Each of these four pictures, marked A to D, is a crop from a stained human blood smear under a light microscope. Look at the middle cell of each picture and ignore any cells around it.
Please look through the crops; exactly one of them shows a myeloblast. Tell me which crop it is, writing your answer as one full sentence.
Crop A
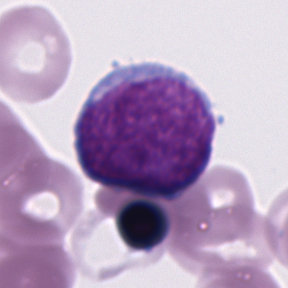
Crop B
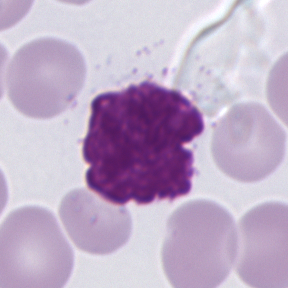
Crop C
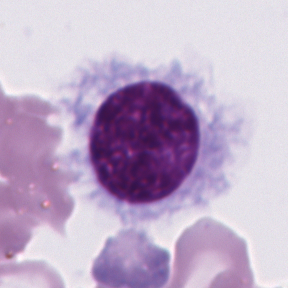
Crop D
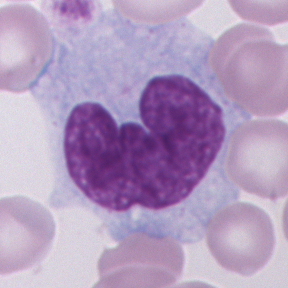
The crop marked A is the one in which a myeloblast is shown.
